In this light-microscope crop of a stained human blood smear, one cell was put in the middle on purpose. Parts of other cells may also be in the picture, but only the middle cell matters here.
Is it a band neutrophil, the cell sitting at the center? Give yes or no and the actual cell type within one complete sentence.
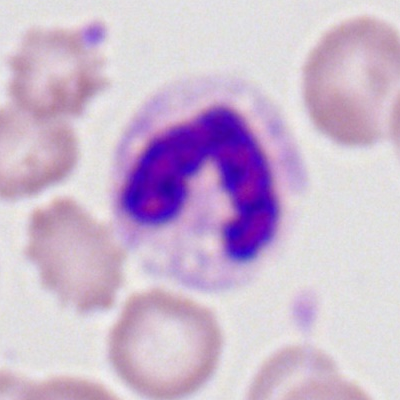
Yes, the cell at the crop's center is a band neutrophil.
